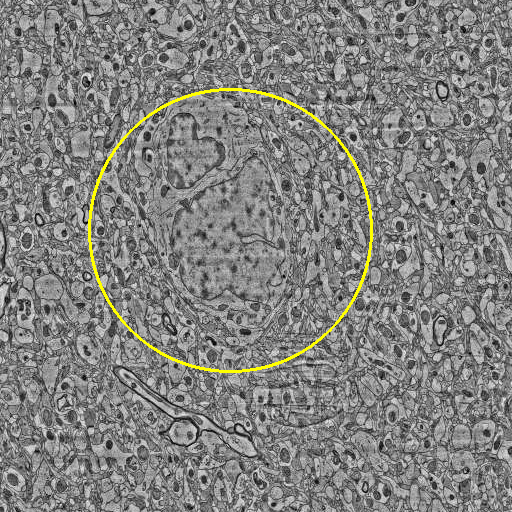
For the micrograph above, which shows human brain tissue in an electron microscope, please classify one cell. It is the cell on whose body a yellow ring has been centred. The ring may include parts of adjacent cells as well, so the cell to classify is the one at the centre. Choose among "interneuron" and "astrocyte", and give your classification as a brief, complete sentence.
I classify this cell as an interneuron.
